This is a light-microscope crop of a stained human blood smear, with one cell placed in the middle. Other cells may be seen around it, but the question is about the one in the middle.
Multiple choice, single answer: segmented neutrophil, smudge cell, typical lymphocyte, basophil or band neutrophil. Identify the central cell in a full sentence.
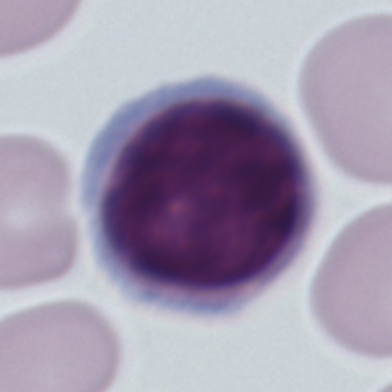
Located at the centre of the crop is a typical lymphocyte.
